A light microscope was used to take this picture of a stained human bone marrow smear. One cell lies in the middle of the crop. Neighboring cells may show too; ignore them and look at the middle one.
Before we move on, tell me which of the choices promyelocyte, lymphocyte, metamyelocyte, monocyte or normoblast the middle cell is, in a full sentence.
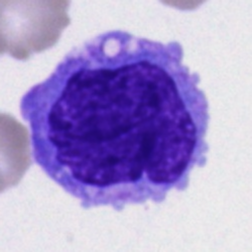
What sits at the centre of this crop is a monocyte.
